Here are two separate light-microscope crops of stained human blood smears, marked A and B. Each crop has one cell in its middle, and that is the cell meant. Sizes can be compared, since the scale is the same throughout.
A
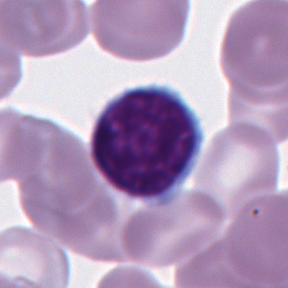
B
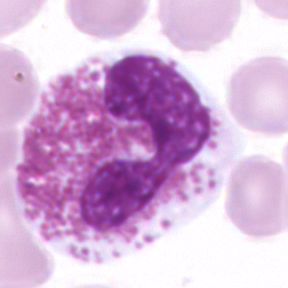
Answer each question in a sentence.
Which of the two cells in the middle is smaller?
It is the cell in picture A; the cell in picture B has about 2.5 times its area.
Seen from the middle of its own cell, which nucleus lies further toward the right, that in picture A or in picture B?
Seen within its cell, the nucleus in picture B lies further toward the right.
